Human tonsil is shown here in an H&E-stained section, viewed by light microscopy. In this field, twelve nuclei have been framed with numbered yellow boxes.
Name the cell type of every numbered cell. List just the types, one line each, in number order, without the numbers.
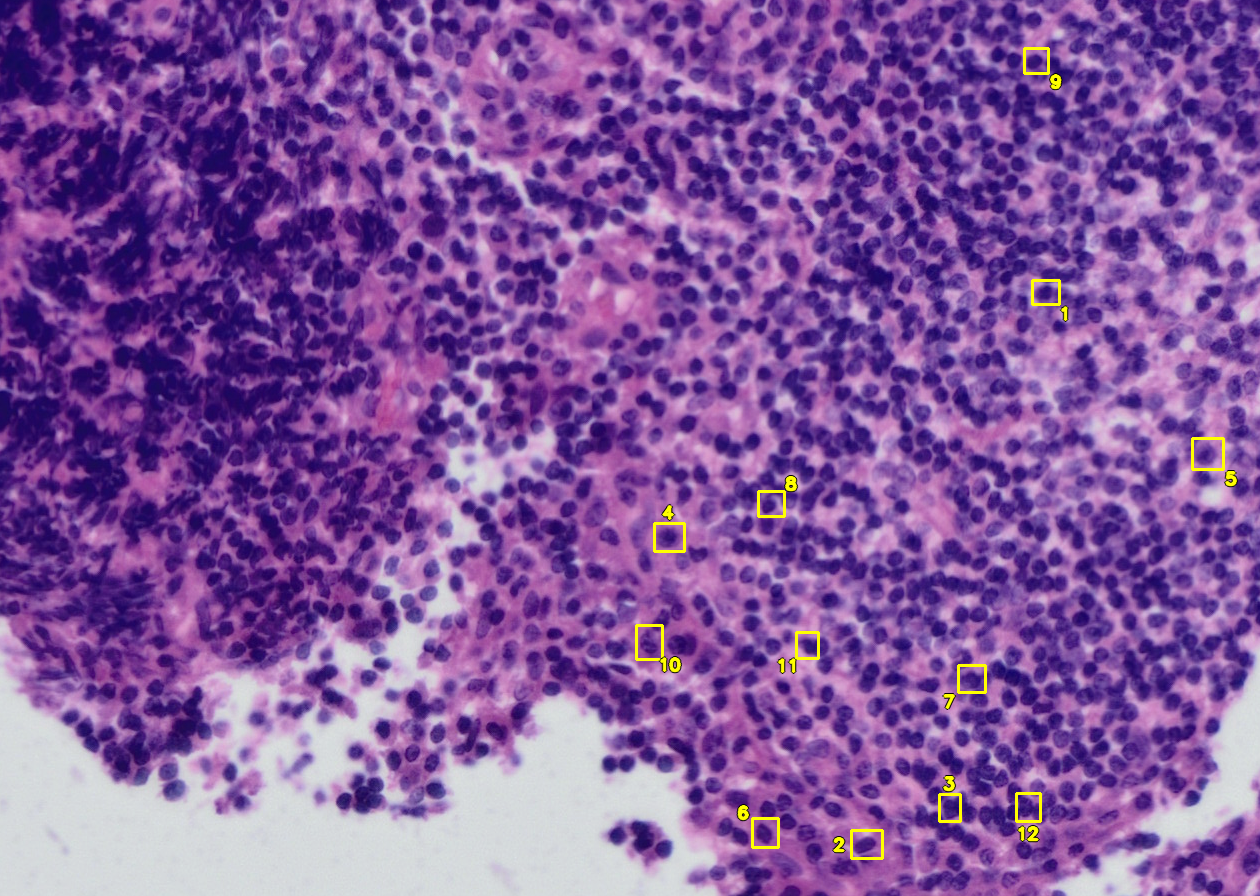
small lymphocyte
plasma cell
small lymphocyte
plasma cell
proliferating B cell
plasma cell
small lymphocyte
small lymphocyte
small lymphocyte
plasma cell
small lymphocyte
small lymphocyte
